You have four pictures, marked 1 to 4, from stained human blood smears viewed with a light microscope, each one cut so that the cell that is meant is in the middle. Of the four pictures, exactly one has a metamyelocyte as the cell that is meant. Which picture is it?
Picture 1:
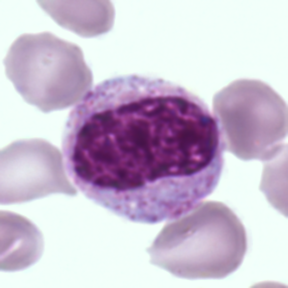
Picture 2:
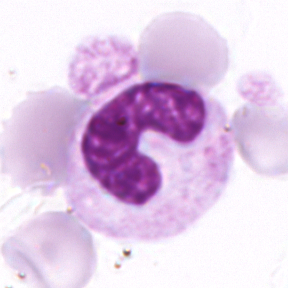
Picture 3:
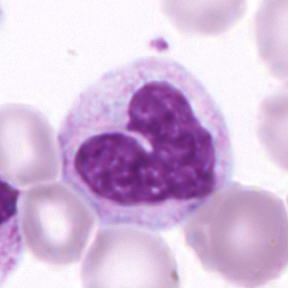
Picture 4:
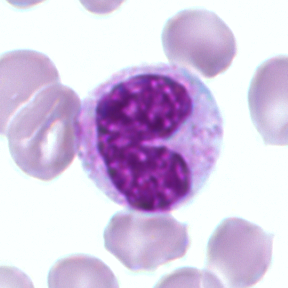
1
